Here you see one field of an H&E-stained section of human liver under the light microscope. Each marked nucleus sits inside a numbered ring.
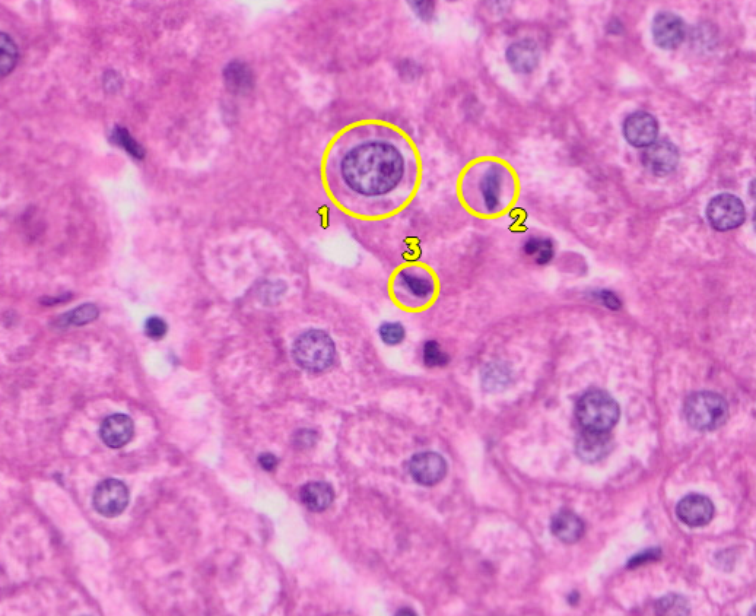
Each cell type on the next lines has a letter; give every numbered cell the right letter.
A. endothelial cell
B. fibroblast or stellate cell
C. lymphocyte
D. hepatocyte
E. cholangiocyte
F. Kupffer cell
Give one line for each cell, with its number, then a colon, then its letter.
1: D
2: A
3: B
